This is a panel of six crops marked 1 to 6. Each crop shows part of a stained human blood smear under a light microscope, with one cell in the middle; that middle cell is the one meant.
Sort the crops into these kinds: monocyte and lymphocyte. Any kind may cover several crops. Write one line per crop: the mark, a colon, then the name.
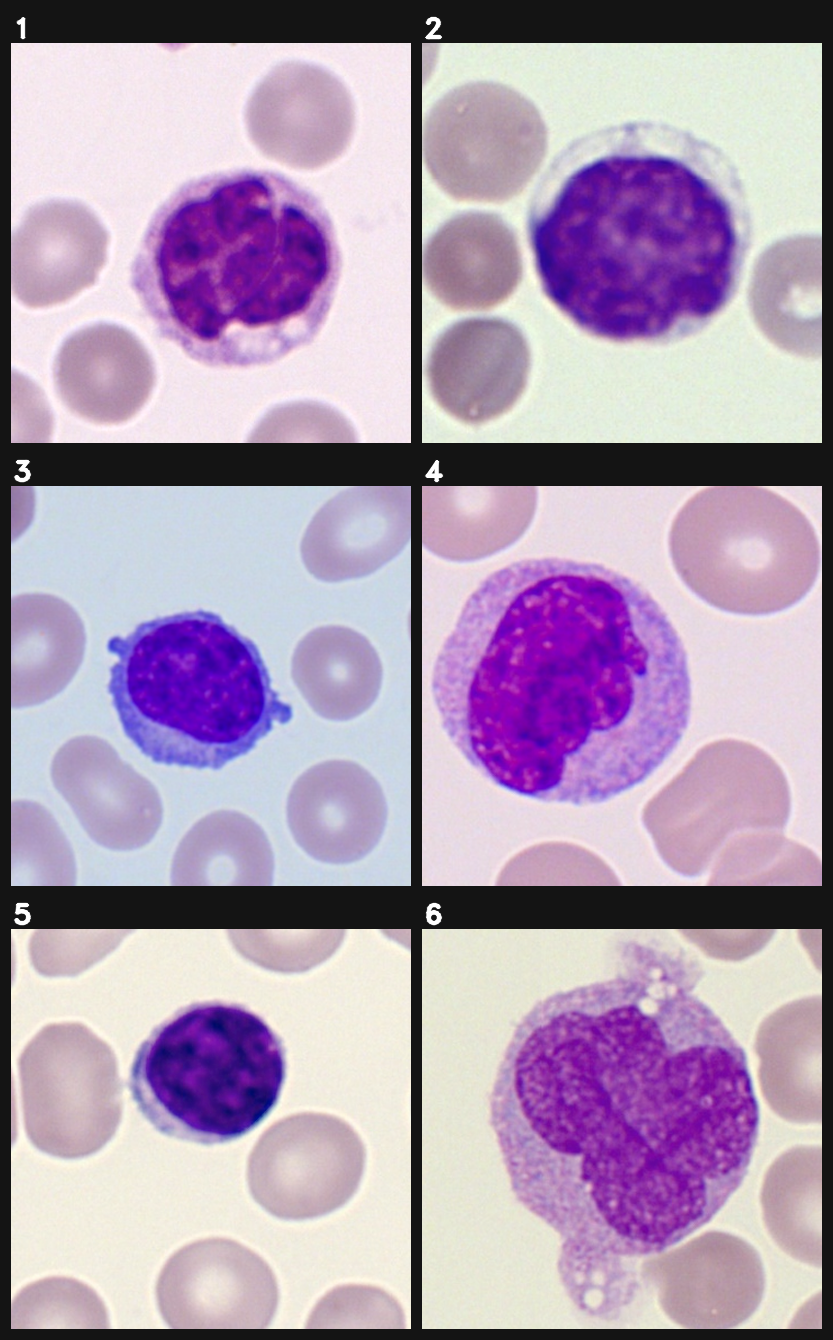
1: monocyte
2: lymphocyte
3: lymphocyte
4: monocyte
5: lymphocyte
6: monocyte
